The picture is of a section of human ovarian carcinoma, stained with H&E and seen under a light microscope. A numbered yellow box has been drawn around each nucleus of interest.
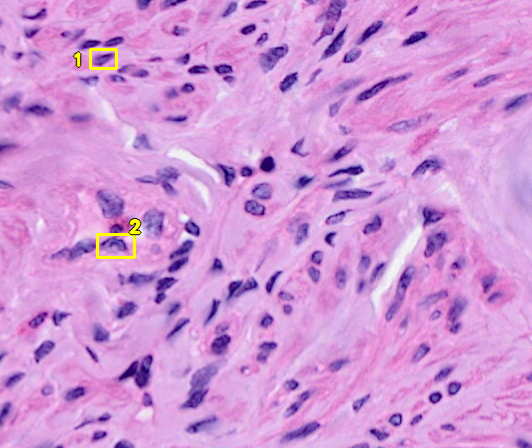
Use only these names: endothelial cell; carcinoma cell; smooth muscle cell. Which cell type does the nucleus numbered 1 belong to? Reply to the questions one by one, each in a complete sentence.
Here the cell numbered 1 is a smooth muscle cell.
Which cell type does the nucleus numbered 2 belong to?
Corresponding to an endothelial cell is the cell labelled 2.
